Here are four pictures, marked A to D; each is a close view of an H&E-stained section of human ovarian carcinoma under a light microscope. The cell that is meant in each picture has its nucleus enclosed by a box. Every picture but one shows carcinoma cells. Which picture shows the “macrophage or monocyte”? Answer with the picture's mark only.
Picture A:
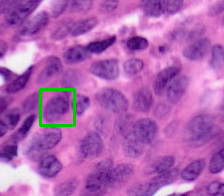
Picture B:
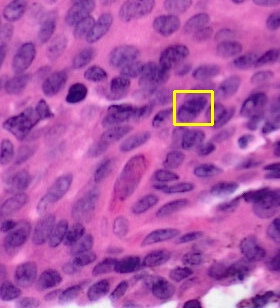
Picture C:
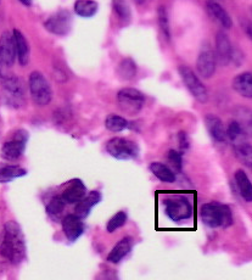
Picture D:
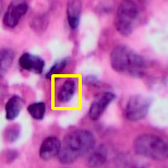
D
